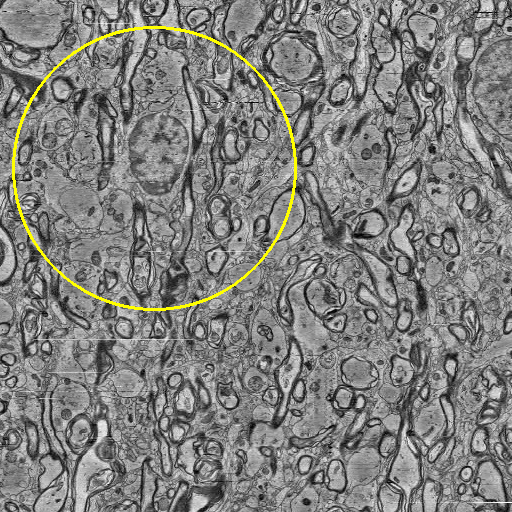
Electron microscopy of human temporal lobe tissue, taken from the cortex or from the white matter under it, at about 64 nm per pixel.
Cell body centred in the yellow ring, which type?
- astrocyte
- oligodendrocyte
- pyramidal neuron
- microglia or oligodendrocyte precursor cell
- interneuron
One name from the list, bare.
microglia or oligodendrocyte precursor cell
